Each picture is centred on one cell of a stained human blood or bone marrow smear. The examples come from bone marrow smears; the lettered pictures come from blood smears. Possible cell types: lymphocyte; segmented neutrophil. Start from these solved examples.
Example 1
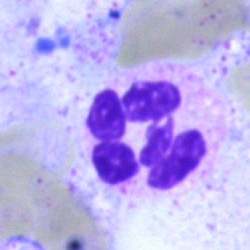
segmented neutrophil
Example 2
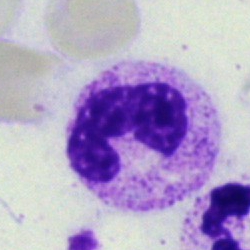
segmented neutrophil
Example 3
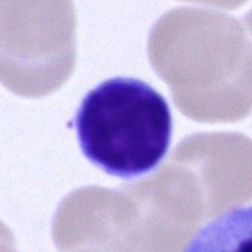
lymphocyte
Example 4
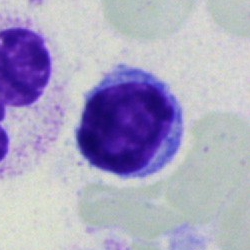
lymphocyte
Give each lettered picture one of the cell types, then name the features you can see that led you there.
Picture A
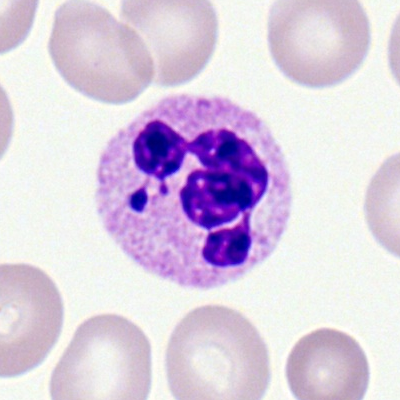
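segmented neutrophil: The cytoplasm is plentiful and pale pinkish-lilac.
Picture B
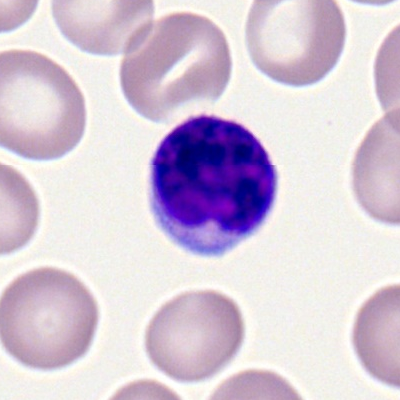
lymphocyte: A scant rim of pale blue cytoplasm shows mainly along the lower edge.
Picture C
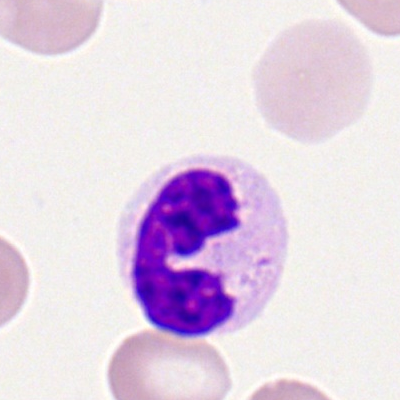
segmented neutrophil: The nucleus is a single curved band shaped like a thick C, not split into separate lobes.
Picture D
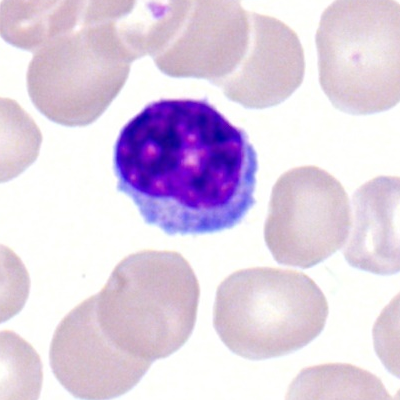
lymphocyte: The nucleus fills most of the cell.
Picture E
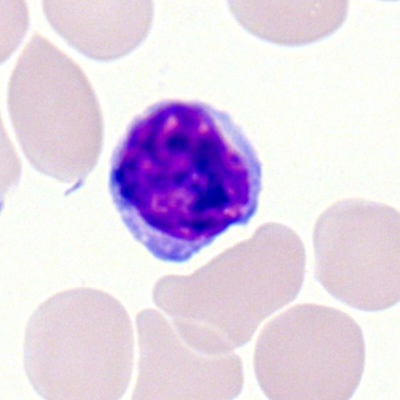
lymphocyte: The cytoplasm forms only a thin rim around the nucleus.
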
